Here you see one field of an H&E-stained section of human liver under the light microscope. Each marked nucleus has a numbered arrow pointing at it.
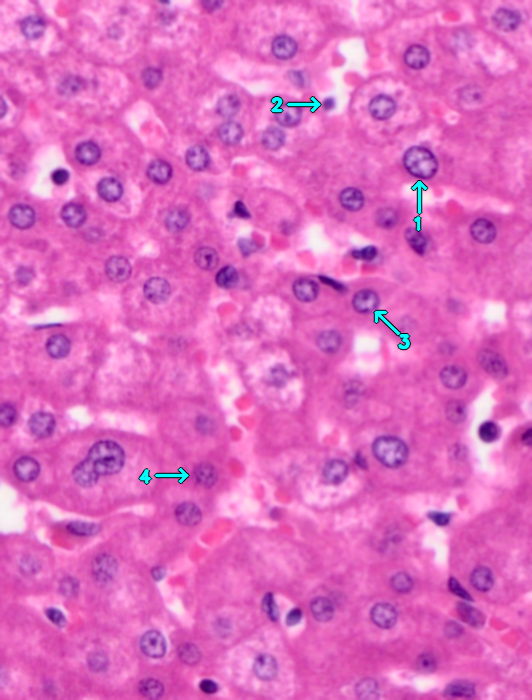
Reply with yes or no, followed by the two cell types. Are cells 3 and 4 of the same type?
Yes, cells 3 and 4 are, both of them, hepatocytes.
